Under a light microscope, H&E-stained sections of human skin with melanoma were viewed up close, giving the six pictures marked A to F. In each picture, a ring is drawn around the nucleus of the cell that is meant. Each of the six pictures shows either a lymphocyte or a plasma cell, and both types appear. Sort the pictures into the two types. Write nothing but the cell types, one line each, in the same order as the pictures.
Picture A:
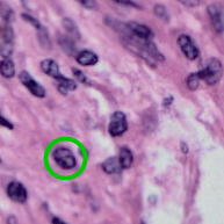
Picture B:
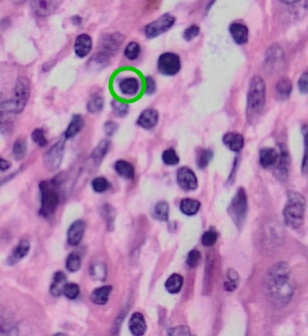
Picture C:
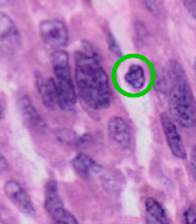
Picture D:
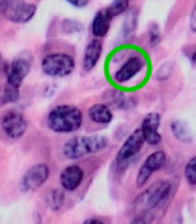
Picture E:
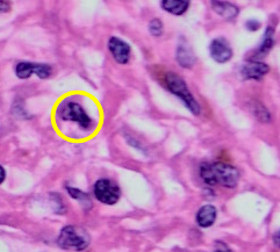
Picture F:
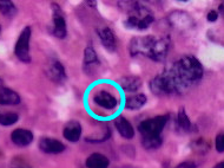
plasma cell
lymphocyte
lymphocyte
plasma cell
plasma cell
lymphocyte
